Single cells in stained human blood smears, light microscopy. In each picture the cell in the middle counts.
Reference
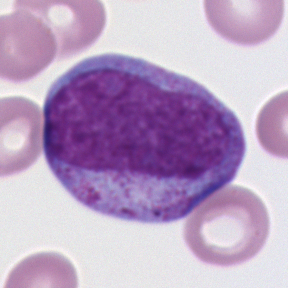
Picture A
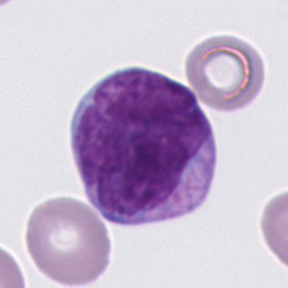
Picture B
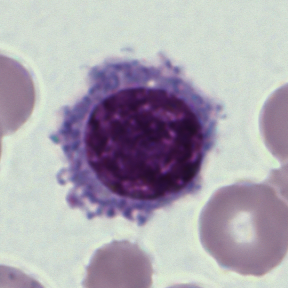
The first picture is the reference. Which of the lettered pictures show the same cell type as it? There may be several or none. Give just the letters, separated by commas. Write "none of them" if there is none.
A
